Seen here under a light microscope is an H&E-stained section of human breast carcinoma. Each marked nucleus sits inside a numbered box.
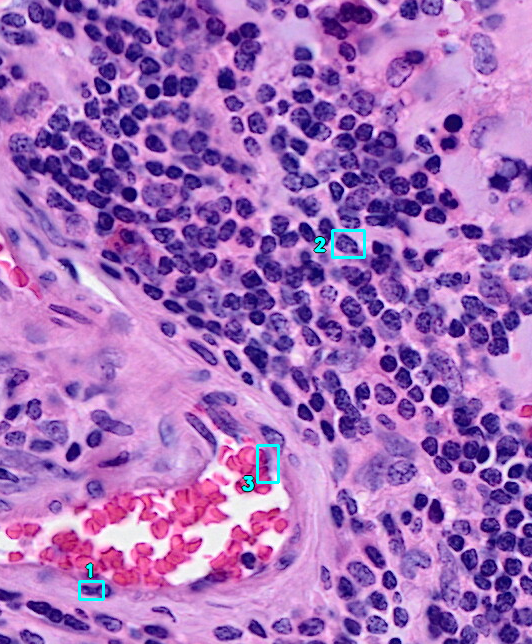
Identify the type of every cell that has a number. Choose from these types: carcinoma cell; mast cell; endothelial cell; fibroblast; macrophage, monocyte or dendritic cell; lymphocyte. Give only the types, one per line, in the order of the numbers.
endothelial cell
lymphocyte
endothelial cell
